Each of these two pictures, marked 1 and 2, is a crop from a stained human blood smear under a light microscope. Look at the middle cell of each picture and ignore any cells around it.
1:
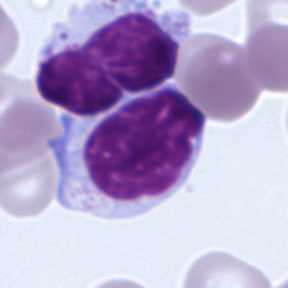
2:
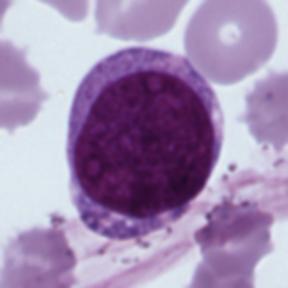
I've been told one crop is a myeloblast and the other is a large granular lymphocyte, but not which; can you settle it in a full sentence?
Crop 1 should be reported as a large granular lymphocyte, and crop 2 as a myeloblast.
